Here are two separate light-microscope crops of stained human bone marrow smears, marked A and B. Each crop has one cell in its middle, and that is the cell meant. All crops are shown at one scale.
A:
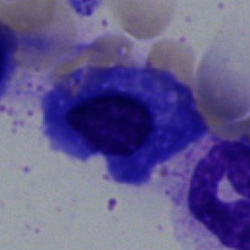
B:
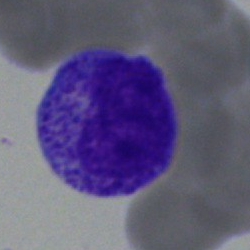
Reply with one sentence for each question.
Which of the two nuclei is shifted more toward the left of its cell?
Seen within its cell, the nucleus in crop A lies further toward the left.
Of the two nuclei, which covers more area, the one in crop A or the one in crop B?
Larger is the nucleus in crop B, at roughly 2 times the area of the other.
